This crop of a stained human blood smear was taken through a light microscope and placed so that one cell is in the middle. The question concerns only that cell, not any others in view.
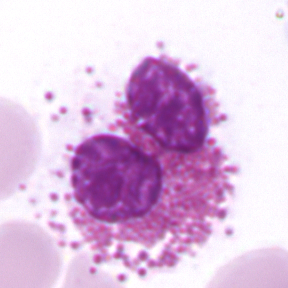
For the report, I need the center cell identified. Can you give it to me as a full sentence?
The centrally positioned cell in the crop represents an eosinophil.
